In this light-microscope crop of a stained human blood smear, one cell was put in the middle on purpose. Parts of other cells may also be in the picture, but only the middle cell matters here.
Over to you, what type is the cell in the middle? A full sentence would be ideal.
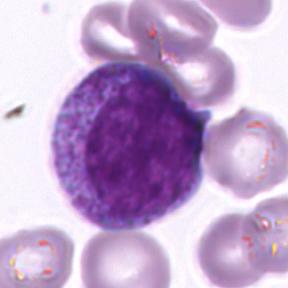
The identification for the central cell is a myelocyte.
